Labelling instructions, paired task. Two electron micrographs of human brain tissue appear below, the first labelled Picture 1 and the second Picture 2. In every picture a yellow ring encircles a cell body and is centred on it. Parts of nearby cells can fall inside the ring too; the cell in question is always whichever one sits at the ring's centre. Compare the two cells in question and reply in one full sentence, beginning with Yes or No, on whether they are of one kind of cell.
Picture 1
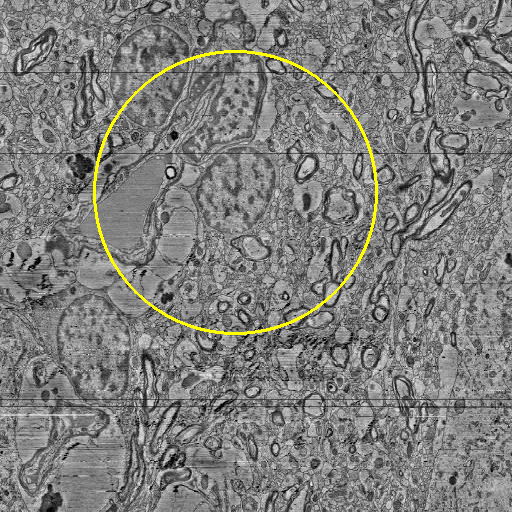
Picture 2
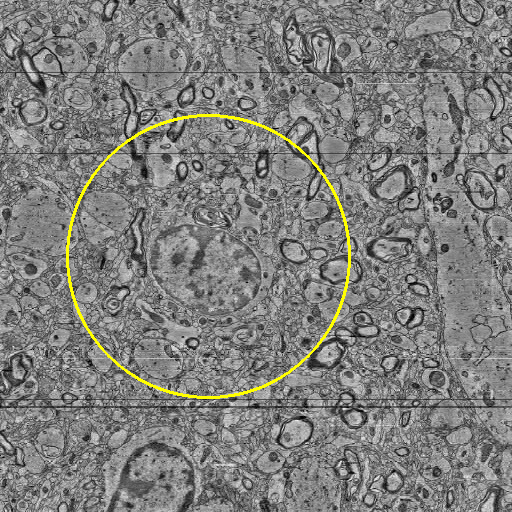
Yes, the two cells at the ring centres in Picture 1 and Picture 2 are of one kind.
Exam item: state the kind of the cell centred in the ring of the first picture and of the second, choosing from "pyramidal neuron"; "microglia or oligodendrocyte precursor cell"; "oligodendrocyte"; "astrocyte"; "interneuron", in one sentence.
In each of the two pictures, the ringed cell is an oligodendrocyte.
